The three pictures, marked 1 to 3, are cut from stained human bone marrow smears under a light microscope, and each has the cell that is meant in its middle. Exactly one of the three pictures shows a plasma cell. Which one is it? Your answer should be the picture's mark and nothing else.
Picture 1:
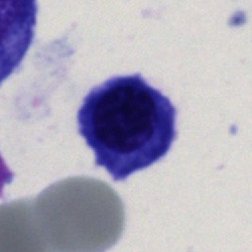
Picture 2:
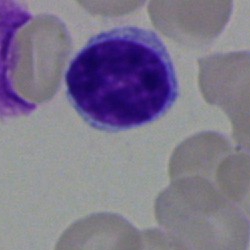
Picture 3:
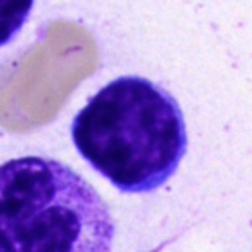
1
